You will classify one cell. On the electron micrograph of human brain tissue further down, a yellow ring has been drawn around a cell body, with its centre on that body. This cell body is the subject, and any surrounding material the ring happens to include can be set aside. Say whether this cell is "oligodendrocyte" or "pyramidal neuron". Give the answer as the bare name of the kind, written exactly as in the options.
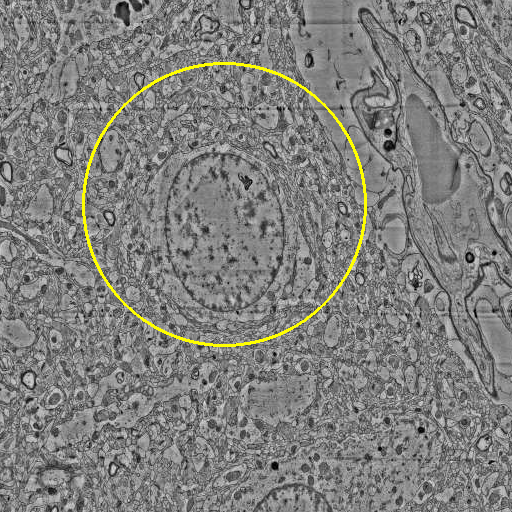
pyramidal neuron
